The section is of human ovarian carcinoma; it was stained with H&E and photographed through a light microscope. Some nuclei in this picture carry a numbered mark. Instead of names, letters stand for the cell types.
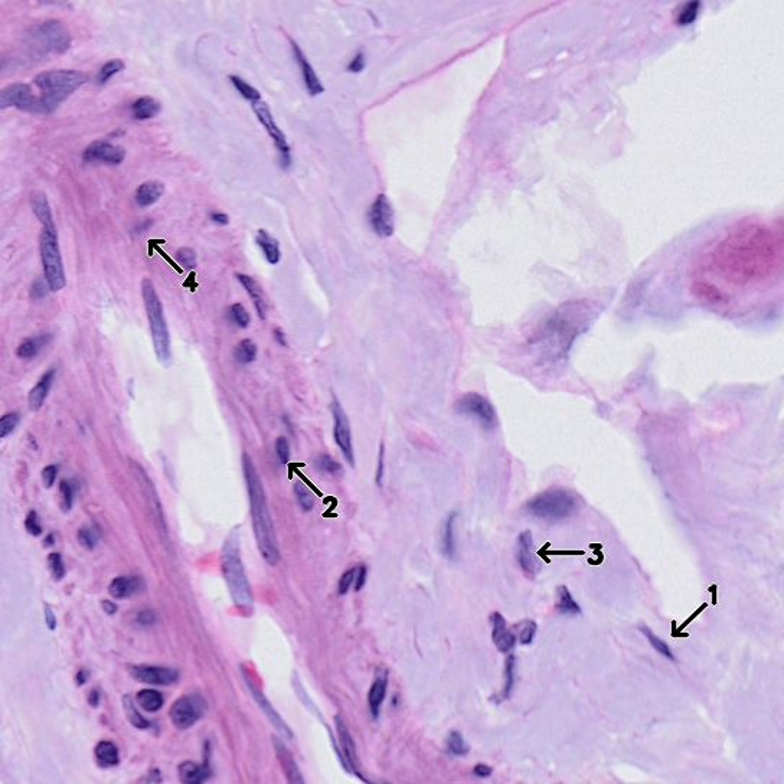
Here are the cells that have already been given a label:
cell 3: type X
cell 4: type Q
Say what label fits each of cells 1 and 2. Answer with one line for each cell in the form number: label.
1: type X
2: type Q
